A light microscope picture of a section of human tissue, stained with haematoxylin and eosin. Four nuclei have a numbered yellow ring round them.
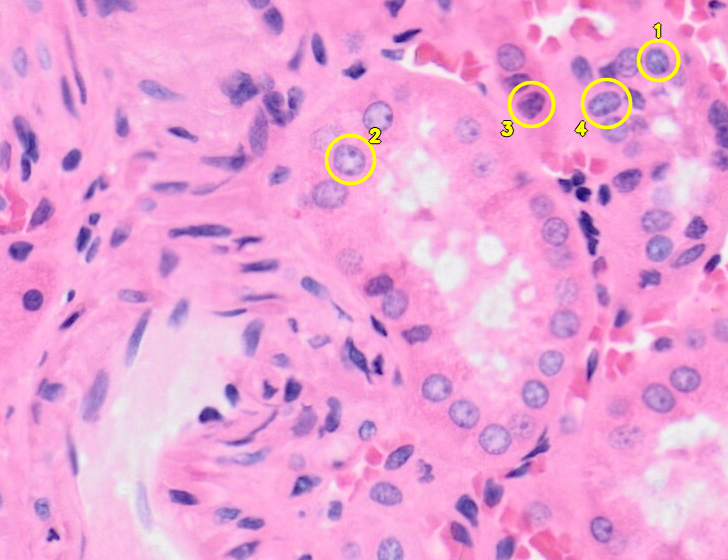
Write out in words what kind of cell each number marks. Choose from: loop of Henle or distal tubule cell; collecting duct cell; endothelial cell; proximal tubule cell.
Cells 1 and 4 are collecting duct cells. Cells 2 and 3 are proximal tubule cells.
